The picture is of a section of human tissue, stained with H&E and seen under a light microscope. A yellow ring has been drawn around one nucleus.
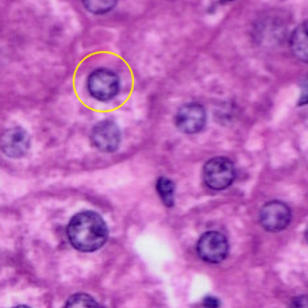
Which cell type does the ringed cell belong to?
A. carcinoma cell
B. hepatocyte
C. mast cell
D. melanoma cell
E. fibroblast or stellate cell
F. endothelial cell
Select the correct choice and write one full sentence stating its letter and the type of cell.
Option B properly identifies the ringed cell as a hepatocyte.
